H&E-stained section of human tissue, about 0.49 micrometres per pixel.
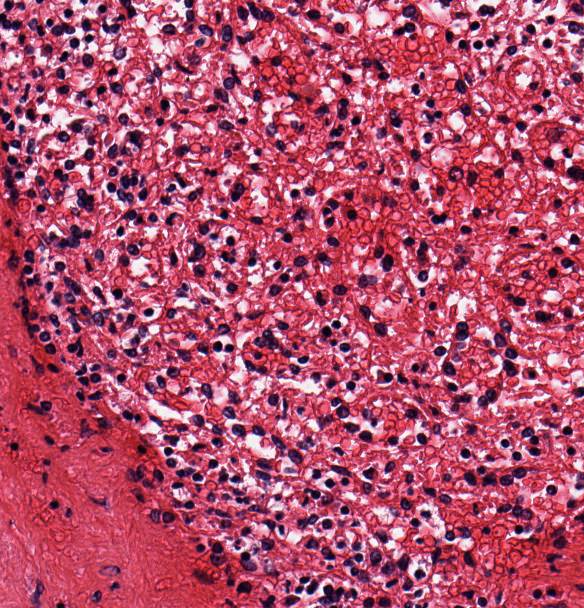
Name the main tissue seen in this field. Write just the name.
red pulp of the spleen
